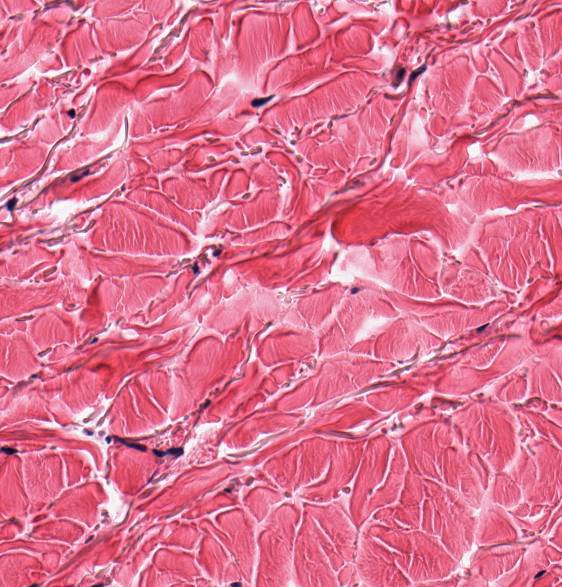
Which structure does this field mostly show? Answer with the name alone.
dermis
